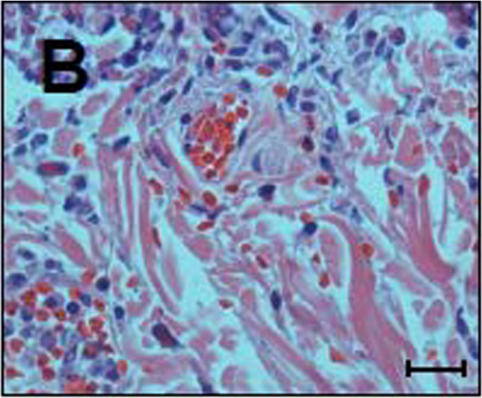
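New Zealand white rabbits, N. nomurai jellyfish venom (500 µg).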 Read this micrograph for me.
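This is dermis of skin in a lesion. Wavy pink collagen bundles run through it with clear spaces between them. Many small, bright red, round bodies without nuclei lie packed in clusters, one cluster within a vessel-like ring near the centre and another large crowd at the lower left, with more scattered among the fibres outside any vessel, suggesting blood cells have spilled into the tissue. Numerous small cells with dark purple, round or irregular nuclei are scattered between the bundles, far more than in quiet dermis, consistent with inflammatory cells infiltrating the damaged tissue.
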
